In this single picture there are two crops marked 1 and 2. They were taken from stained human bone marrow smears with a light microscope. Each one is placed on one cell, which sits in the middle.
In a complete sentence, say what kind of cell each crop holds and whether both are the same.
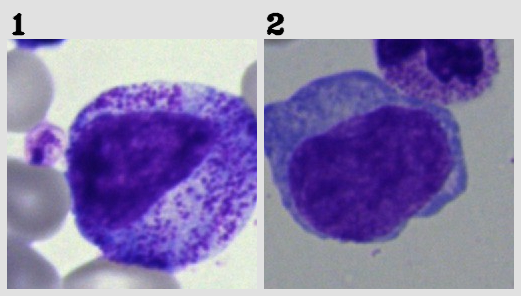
No, the cell of interest in crop 1 is a promyelocyte, and in crop 2 it is a blast.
